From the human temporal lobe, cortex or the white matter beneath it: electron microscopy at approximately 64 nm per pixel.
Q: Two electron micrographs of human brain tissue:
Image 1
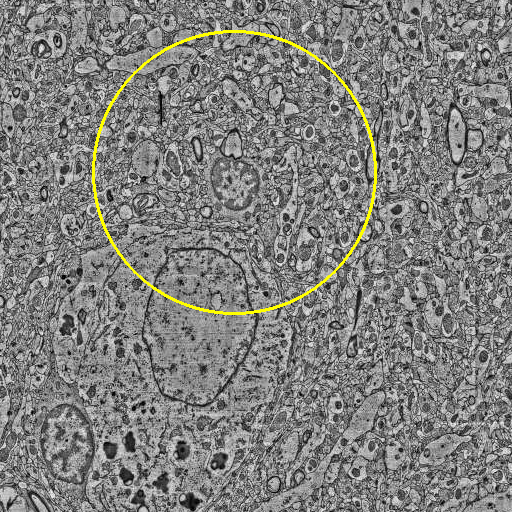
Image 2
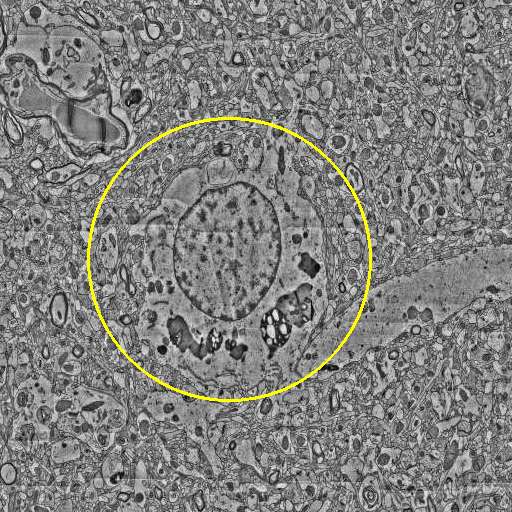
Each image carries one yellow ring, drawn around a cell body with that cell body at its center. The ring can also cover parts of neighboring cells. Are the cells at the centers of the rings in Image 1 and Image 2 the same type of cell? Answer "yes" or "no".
no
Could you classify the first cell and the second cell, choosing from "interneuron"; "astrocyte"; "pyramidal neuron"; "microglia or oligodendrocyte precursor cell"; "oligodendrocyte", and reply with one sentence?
The second cell is an astrocyte, while the first is an oligodendrocyte.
